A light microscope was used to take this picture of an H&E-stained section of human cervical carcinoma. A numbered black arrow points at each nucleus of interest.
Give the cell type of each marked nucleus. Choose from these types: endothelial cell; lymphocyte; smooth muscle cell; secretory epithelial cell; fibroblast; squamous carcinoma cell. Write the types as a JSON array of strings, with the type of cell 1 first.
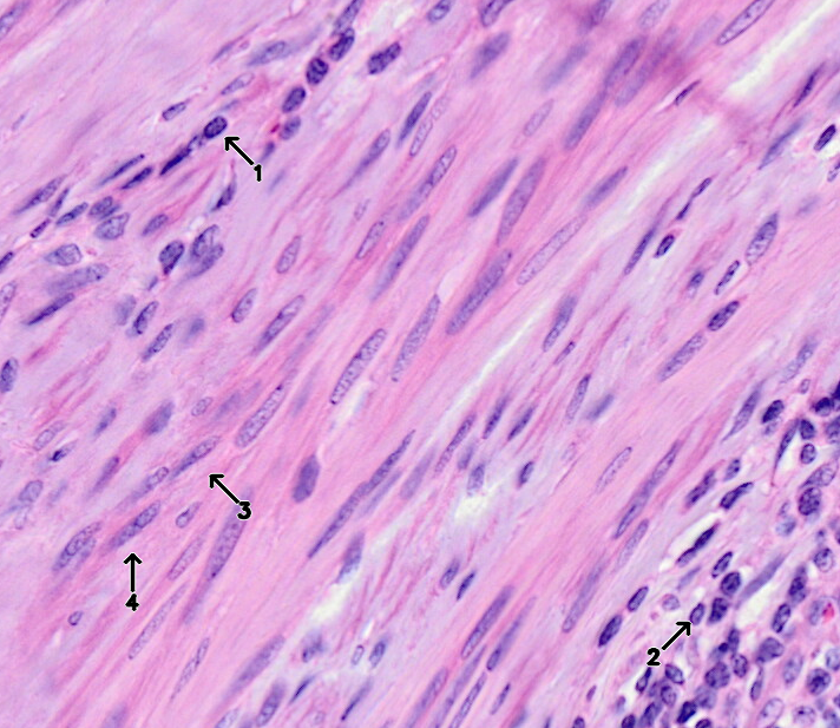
["lymphocyte", "lymphocyte", "smooth muscle cell", "smooth muscle cell"]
